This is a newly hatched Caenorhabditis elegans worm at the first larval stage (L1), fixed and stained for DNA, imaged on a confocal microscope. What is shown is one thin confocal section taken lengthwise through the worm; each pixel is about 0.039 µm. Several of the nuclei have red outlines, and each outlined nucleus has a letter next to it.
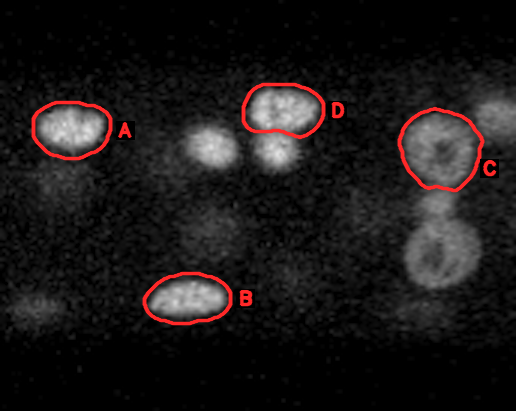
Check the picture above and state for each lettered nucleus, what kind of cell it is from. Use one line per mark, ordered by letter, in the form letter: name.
A: body wall muscle cell
B: body wall muscle cell
C: intestinal cell
D: body wall muscle cell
